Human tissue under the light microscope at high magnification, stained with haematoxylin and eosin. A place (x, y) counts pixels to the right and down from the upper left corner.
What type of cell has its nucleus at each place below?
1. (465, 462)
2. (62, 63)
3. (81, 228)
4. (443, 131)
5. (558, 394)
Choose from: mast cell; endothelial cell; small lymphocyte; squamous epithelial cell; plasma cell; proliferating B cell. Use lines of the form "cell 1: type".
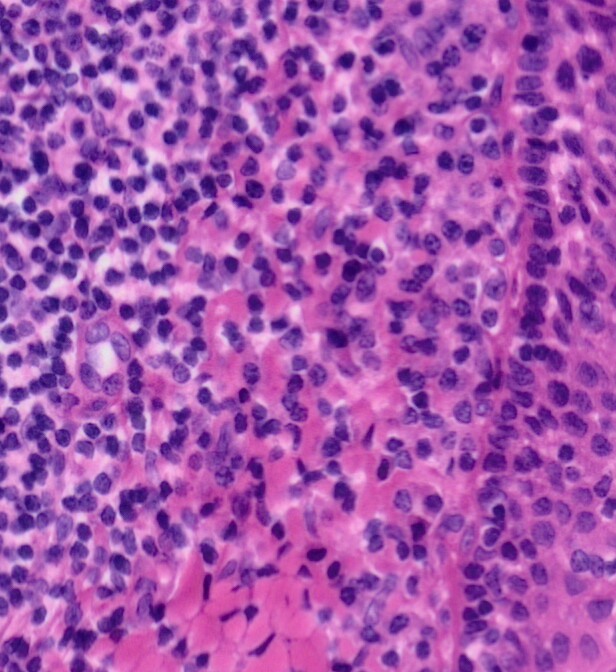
cell 1: plasma cell
cell 2: small lymphocyte
cell 3: small lymphocyte
cell 4: plasma cell
cell 5: squamous epithelial cell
